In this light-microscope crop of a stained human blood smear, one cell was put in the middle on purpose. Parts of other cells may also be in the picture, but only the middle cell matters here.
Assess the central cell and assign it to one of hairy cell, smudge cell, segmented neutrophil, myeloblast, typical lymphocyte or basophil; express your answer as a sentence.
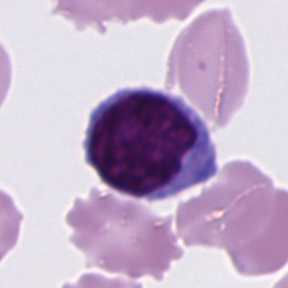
The cell shown in the center of this light-microscope crop is a typical lymphocyte.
